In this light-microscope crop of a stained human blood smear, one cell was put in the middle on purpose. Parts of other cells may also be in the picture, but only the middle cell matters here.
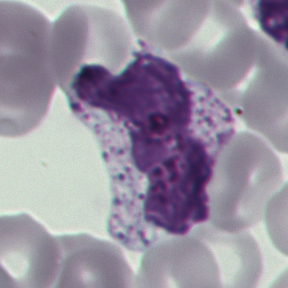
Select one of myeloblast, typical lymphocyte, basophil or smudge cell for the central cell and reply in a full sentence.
The cell occupying the middle of the crop is a basophil.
